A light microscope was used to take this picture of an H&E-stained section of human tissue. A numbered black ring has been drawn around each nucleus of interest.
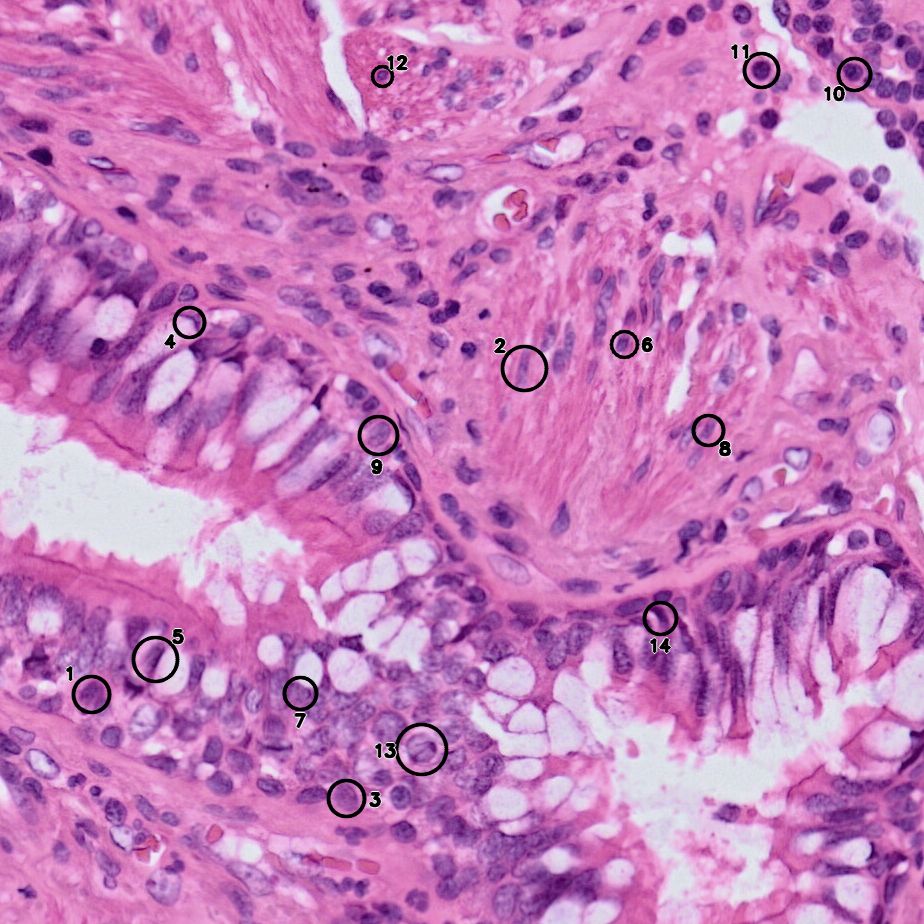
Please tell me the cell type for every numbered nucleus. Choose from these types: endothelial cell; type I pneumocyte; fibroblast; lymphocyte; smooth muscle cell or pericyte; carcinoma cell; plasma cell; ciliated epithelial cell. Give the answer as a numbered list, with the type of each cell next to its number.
1. ciliated epithelial cell
2. smooth muscle cell or pericyte
3. ciliated epithelial cell
4. ciliated epithelial cell
5. ciliated epithelial cell
6. smooth muscle cell or pericyte
7. ciliated epithelial cell
8. smooth muscle cell or pericyte
9. ciliated epithelial cell
10. lymphocyte
11. lymphocyte
12. smooth muscle cell or pericyte
13. ciliated epithelial cell
14. ciliated epithelial cell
